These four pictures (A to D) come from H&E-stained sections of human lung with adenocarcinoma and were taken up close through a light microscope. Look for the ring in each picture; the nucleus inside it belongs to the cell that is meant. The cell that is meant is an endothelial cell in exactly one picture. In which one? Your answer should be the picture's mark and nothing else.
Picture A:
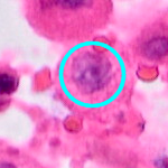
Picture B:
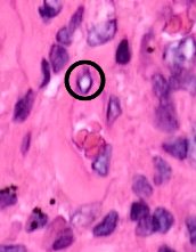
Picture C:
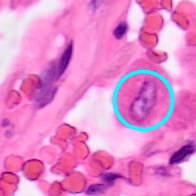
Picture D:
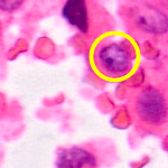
B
